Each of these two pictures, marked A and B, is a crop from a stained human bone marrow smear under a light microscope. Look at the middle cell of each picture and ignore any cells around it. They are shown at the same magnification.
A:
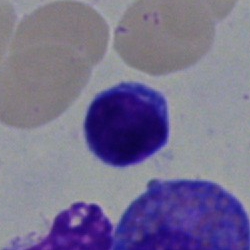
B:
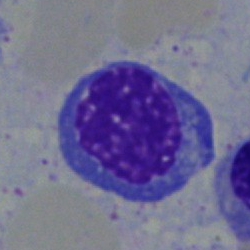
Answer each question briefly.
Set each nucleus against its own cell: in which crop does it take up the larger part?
A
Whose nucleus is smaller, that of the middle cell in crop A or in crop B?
A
